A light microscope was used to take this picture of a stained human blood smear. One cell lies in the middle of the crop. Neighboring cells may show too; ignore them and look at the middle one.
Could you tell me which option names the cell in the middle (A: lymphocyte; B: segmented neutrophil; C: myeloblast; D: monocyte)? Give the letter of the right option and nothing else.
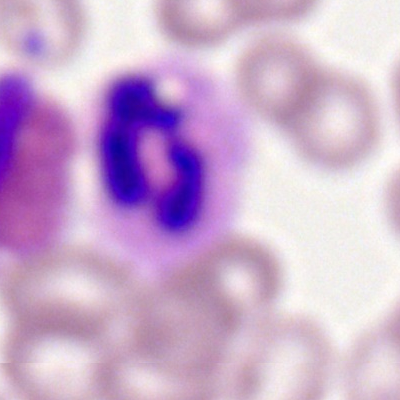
B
